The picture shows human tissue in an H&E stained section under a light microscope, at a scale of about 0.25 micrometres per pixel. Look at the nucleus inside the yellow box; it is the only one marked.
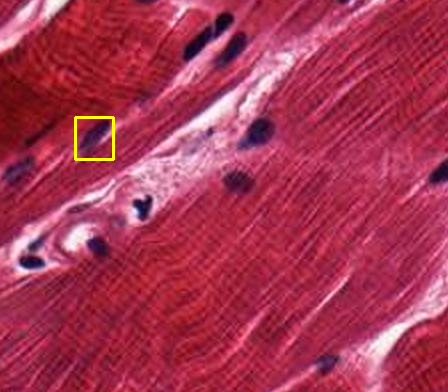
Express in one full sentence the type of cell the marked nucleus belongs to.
The mark in this picture falls on the nucleus of a skeletal muscle fibre.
